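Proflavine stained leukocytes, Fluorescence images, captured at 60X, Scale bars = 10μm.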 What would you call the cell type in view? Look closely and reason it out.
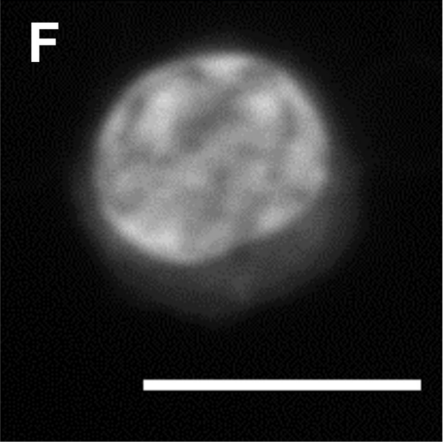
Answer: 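A small cell with a round bright nucleus. The nucleus fills nearly the whole cell, with a narrow dim rim.
Answer: lymphocyte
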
